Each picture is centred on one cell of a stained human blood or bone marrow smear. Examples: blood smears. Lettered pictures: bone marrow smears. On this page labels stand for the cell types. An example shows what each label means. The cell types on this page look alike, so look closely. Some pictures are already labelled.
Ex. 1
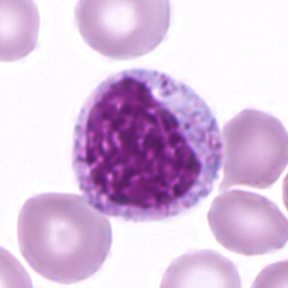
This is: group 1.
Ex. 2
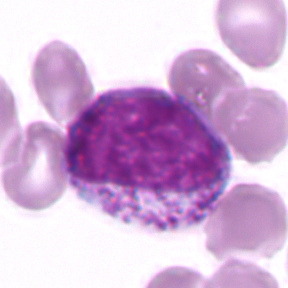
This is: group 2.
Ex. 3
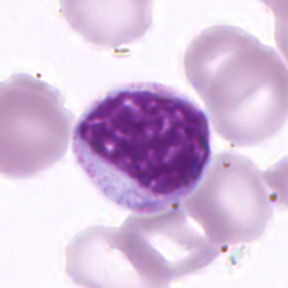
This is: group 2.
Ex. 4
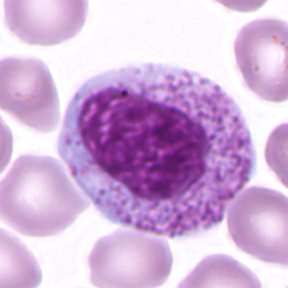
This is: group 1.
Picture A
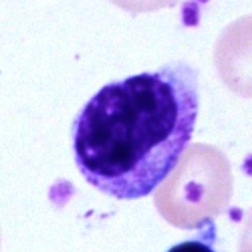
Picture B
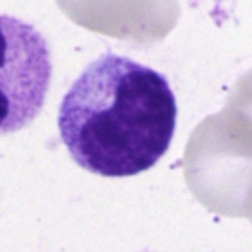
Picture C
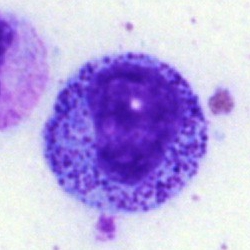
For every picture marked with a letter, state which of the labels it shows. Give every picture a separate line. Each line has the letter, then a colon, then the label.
A: group 2.
B: group 2.
C: group 1.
